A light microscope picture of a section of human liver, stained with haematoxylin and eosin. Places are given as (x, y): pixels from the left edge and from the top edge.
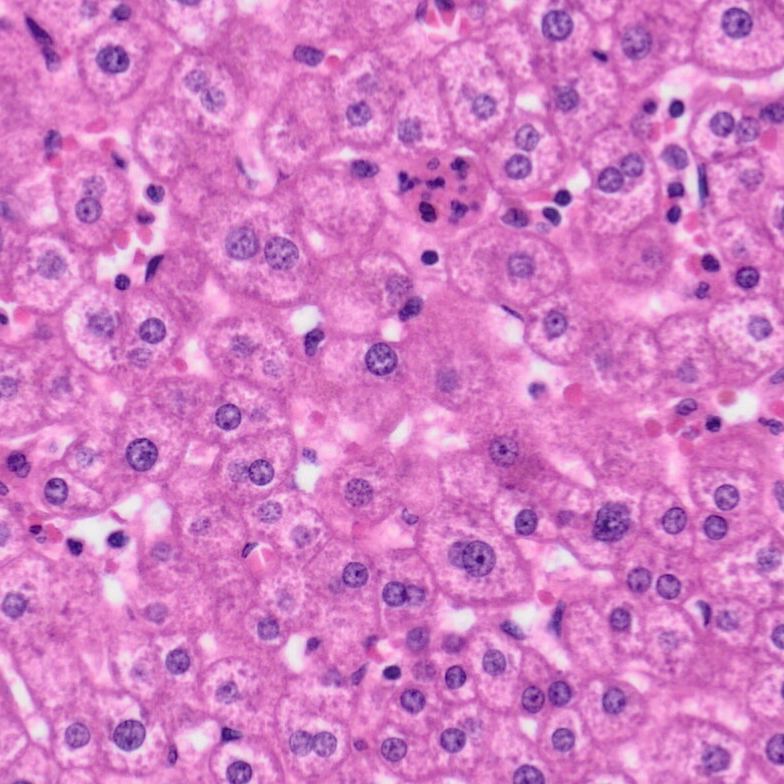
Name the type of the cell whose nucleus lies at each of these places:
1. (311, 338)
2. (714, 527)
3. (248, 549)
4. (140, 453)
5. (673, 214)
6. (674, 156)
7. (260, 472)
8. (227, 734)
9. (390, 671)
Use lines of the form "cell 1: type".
cell 1: Kupffer cell
cell 2: hepatocyte
cell 3: endothelial cell
cell 4: hepatocyte
cell 5: lymphocyte
cell 6: Kupffer cell
cell 7: hepatocyte
cell 8: fibroblast or stellate cell
cell 9: lymphocyte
